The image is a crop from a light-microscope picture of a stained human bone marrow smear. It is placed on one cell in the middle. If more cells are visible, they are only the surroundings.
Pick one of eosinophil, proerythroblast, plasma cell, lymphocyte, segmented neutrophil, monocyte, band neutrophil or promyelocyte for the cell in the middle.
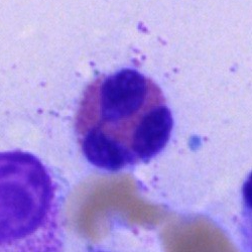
eosinophil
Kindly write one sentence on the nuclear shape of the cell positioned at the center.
The nucleus is divided into two or more distinct lobes.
